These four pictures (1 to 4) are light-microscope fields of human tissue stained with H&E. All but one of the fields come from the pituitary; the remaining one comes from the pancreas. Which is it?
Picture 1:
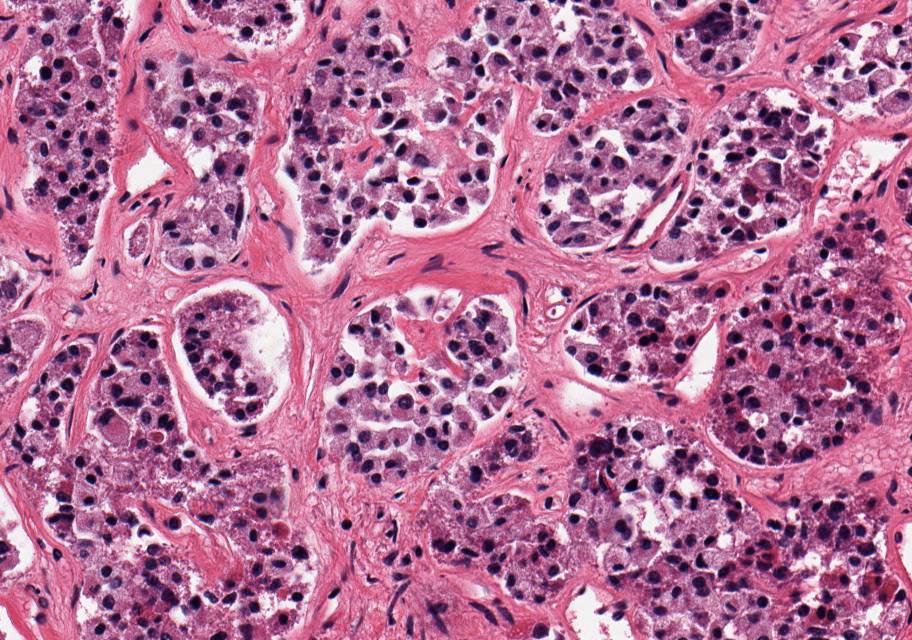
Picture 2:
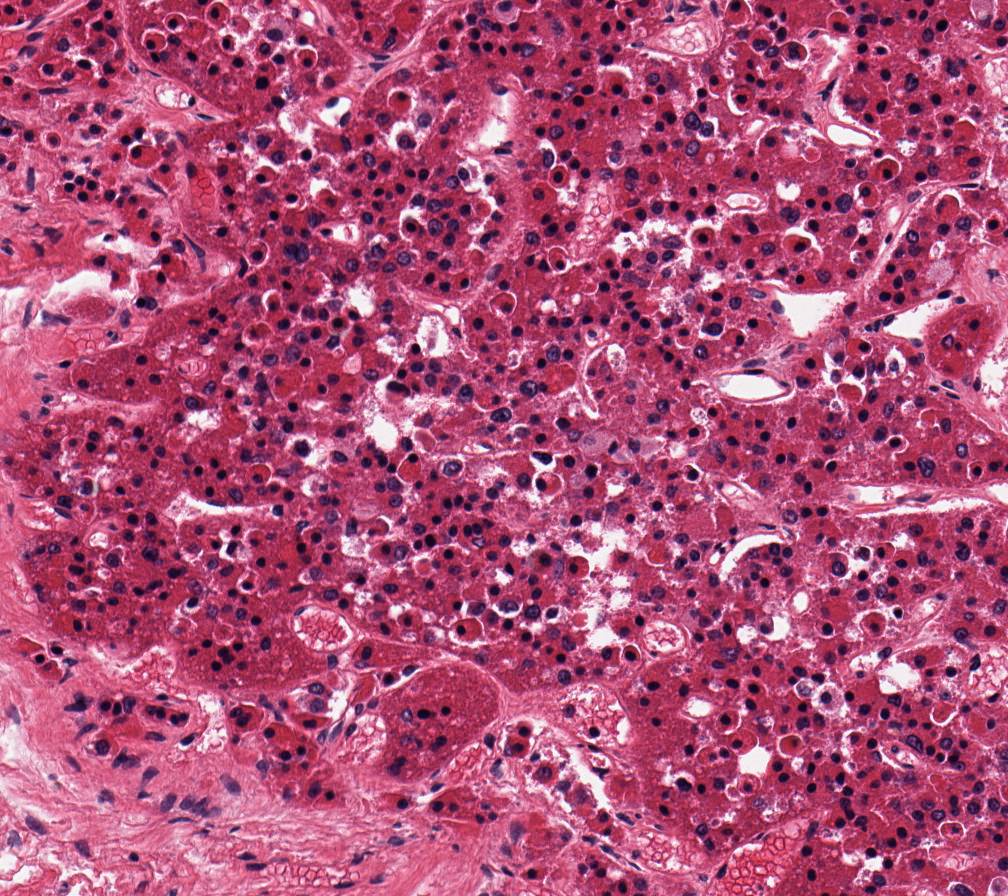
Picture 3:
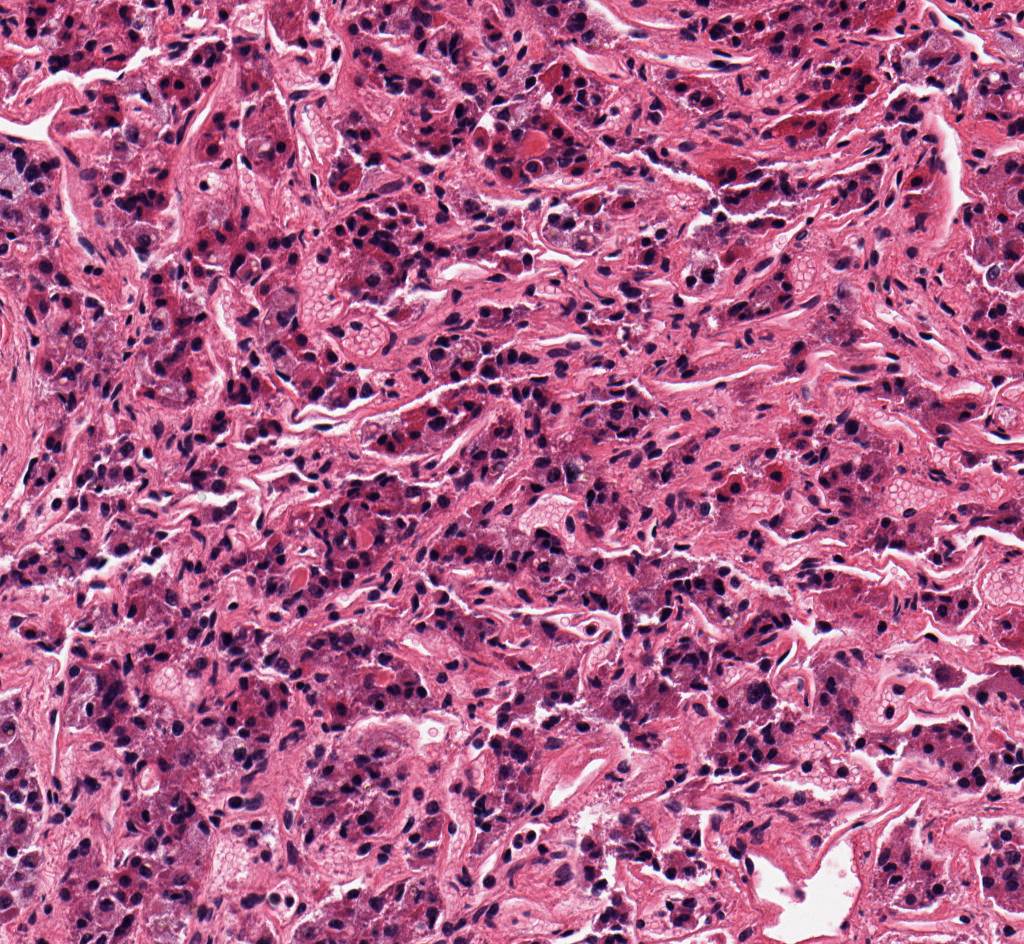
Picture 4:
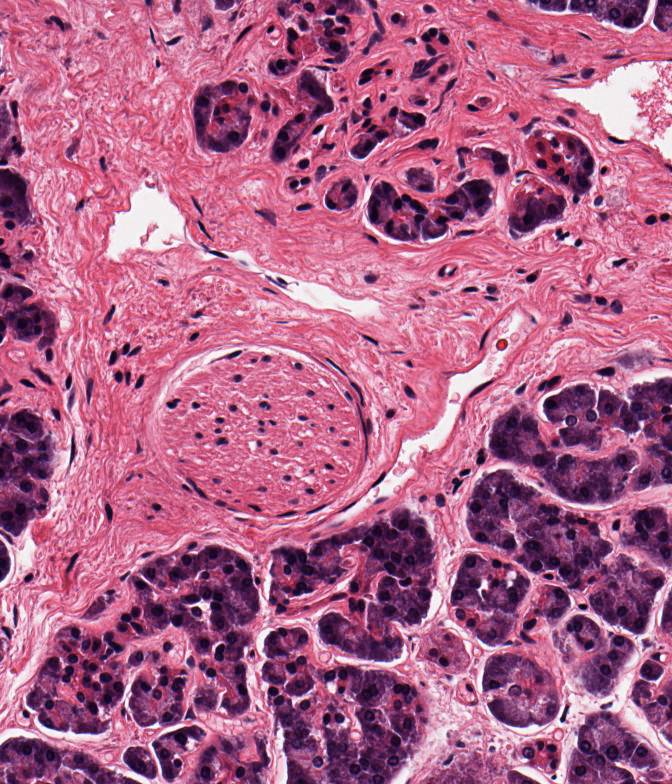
4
